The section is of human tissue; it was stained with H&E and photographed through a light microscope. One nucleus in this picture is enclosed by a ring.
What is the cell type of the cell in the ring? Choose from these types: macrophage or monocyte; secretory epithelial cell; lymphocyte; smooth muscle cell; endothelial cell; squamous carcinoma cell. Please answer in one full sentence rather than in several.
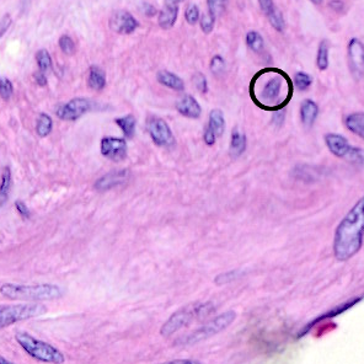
Considered by cell type, the cell in the ring is a smooth muscle cell.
